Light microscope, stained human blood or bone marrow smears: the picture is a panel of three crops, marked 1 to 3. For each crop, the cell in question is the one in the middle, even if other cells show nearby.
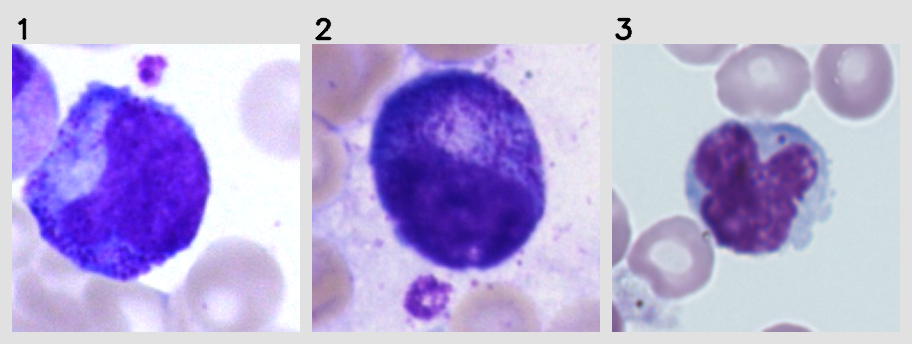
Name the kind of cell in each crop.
1: promyelocyte
2: promyelocyte
3: monocyte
